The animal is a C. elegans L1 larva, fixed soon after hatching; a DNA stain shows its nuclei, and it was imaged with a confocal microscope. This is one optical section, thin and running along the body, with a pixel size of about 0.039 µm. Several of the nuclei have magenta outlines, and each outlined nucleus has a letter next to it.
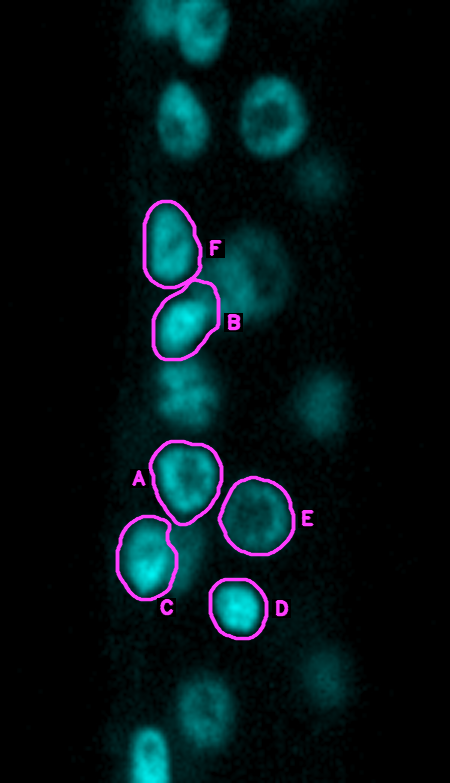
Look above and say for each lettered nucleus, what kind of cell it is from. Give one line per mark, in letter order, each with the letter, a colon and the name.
A: somatic gonad precursor
B: neuron
C: body wall muscle cell
D: neuron
E: hypodermal cell (hyp)
F: body wall muscle cell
